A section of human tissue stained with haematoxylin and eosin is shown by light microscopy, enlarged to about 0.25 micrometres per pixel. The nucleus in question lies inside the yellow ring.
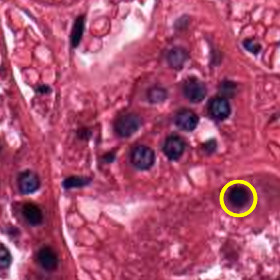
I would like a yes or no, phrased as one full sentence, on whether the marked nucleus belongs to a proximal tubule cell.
Yes, the marked nucleus is that of a proximal tubule cell in this section.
